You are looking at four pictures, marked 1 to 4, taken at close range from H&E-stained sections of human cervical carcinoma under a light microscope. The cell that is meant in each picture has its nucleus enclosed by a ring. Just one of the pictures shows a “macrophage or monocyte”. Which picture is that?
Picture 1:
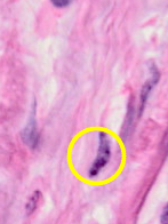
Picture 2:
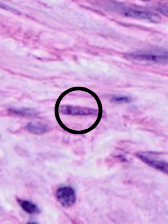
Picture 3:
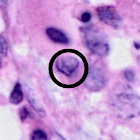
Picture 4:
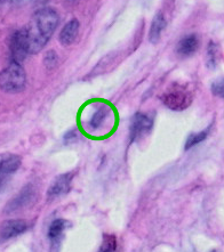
3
